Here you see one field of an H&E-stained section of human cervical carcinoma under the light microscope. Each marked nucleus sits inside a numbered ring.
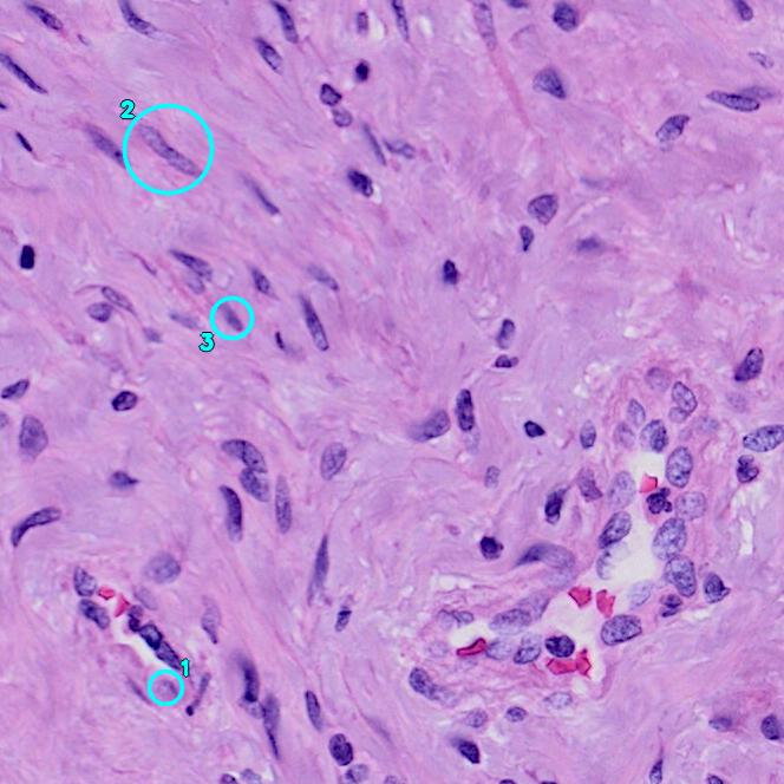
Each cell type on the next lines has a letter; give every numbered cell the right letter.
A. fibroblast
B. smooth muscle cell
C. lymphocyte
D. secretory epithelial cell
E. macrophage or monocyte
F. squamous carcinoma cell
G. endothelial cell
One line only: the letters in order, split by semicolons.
G; B; A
